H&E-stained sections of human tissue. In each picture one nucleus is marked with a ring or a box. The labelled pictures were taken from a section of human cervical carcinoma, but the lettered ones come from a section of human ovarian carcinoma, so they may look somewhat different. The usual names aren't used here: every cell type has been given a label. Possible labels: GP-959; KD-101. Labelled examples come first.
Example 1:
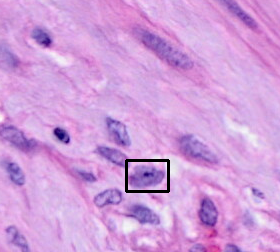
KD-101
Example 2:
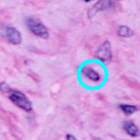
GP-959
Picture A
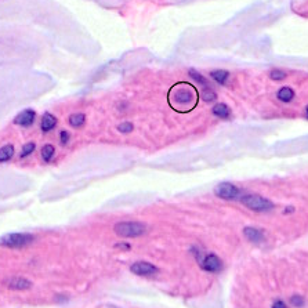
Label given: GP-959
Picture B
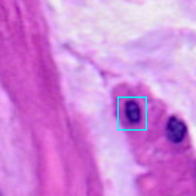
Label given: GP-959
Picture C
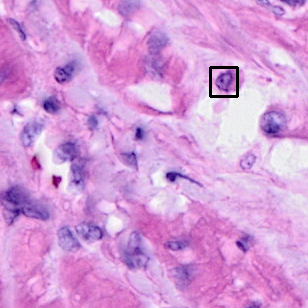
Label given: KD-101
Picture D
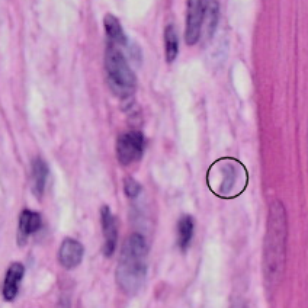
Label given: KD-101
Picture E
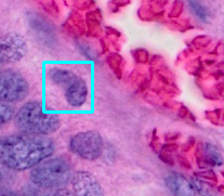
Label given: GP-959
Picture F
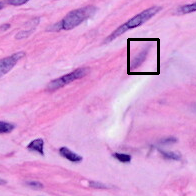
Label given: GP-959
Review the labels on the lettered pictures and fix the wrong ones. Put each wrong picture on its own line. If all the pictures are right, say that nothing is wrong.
E: KD-101, not GP-959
